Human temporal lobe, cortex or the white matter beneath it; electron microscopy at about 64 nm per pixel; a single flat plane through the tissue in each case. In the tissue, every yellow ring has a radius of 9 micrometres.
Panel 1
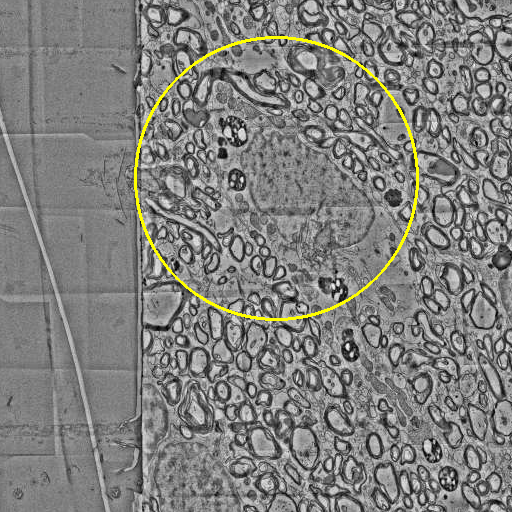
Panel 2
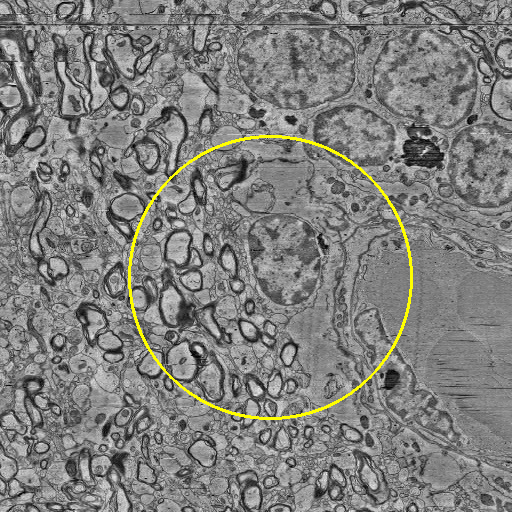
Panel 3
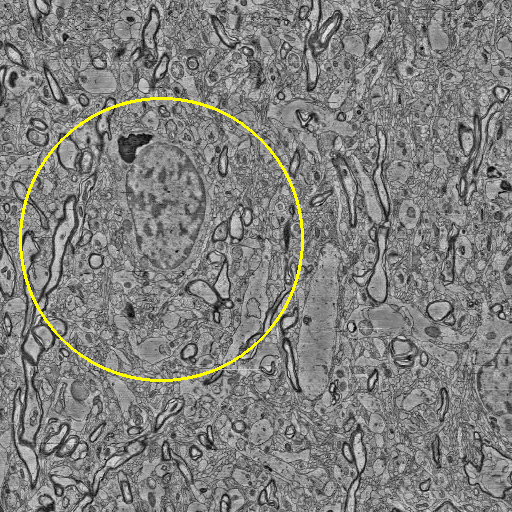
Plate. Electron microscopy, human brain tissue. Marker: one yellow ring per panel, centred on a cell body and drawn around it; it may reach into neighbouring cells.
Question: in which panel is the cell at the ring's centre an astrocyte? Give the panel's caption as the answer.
Panel 1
